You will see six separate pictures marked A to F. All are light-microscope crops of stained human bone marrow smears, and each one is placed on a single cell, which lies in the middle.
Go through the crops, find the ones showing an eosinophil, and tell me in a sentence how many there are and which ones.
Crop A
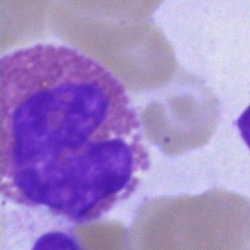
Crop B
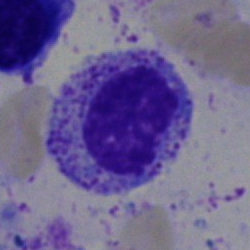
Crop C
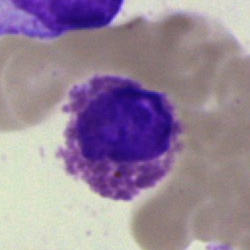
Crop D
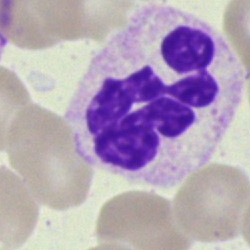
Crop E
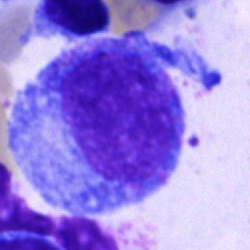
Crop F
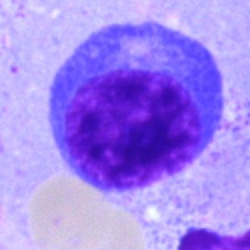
Crops A and C show eosinophils, which makes two such crops.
